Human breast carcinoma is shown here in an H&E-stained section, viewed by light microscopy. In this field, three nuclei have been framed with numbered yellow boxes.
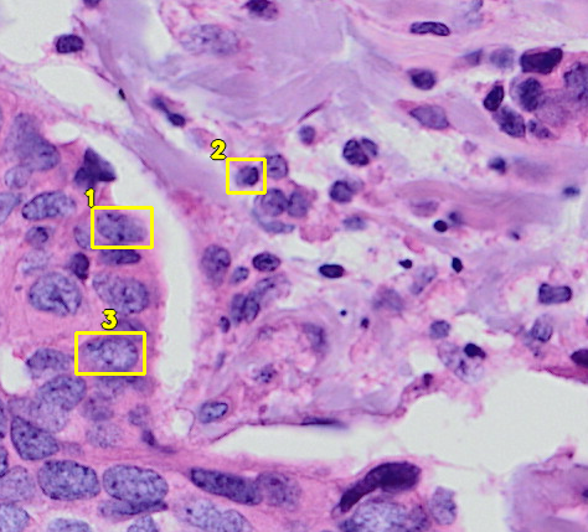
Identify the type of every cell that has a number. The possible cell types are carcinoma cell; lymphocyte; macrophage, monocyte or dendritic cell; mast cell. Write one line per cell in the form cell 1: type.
cell 1: carcinoma cell
cell 2: lymphocyte
cell 3: carcinoma cell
